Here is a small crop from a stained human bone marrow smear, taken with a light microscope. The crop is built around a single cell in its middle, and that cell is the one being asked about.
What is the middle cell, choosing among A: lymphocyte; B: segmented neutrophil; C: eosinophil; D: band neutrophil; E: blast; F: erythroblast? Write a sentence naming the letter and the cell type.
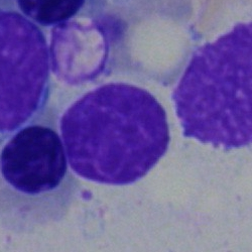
Option A is the keyed answer: the cell in the middle is a lymphocyte.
